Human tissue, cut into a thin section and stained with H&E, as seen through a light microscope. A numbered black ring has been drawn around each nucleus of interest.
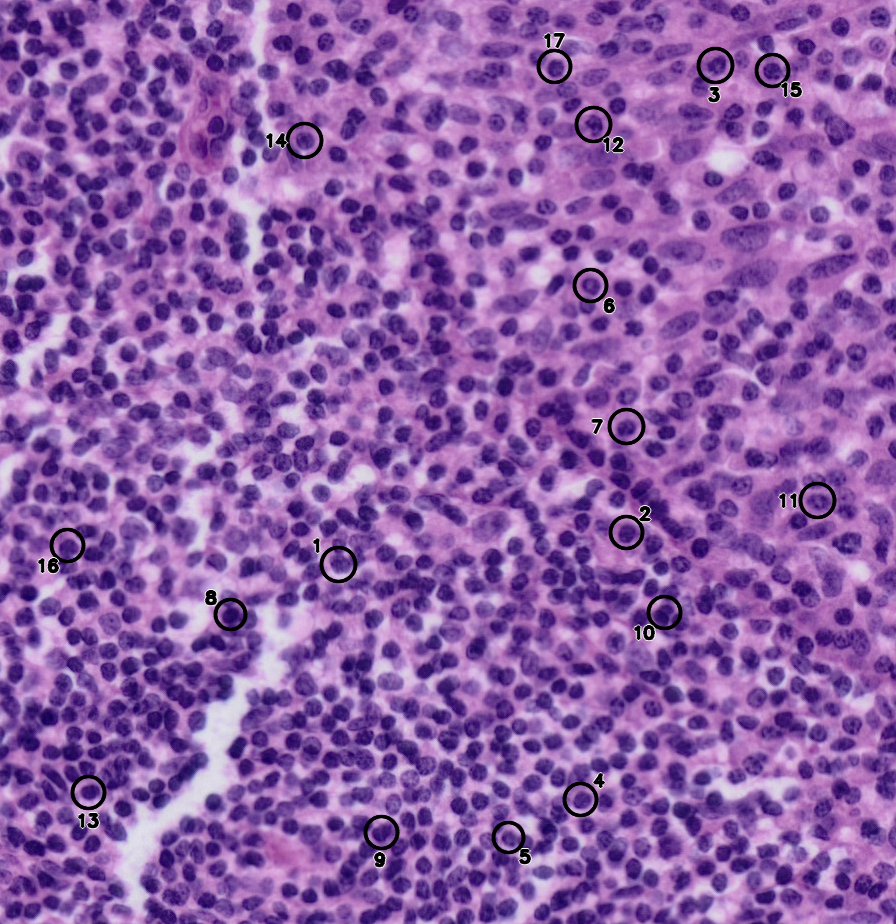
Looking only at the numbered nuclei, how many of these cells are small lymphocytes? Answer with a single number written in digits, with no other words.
8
